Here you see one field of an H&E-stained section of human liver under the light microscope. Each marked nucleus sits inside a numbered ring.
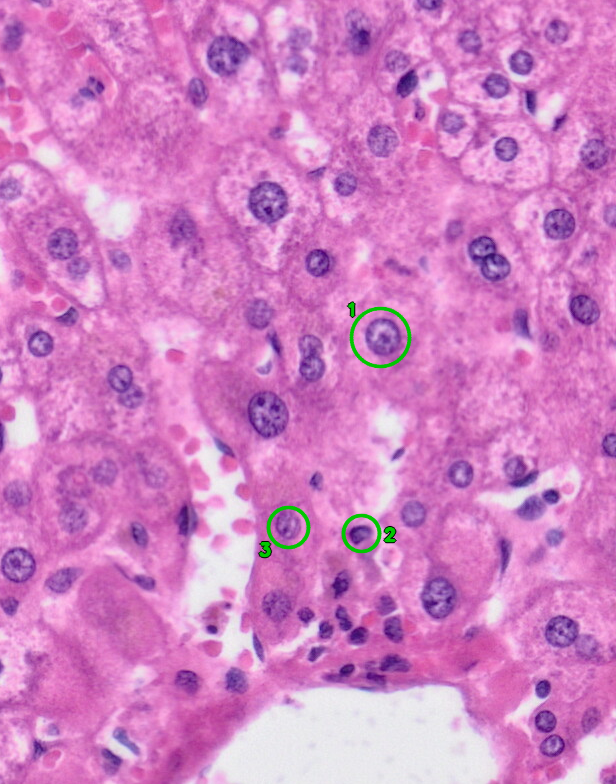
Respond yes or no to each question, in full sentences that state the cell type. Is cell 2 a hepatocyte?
No, a hepatocyte is not what cell 2 is; it is a fibroblast or stellate cell.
